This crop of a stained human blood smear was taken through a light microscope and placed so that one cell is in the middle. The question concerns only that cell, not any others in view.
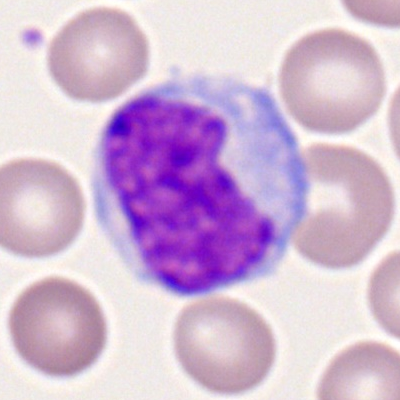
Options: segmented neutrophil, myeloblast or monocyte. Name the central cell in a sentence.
Of the cells in this crop, the central one is a monocyte.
